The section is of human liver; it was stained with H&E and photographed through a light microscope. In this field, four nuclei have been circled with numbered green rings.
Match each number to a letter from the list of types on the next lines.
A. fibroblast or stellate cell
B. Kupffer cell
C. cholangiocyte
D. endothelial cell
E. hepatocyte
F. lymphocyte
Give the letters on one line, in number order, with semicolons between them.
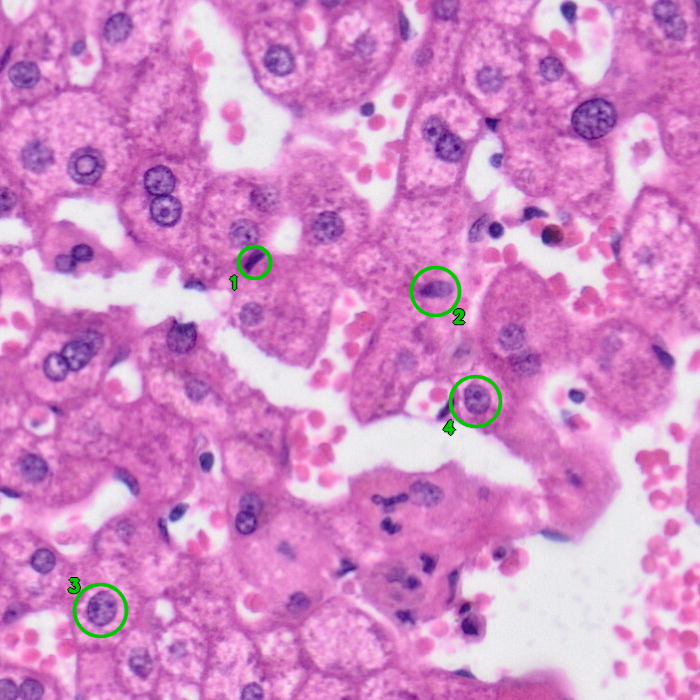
A; B; E; E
